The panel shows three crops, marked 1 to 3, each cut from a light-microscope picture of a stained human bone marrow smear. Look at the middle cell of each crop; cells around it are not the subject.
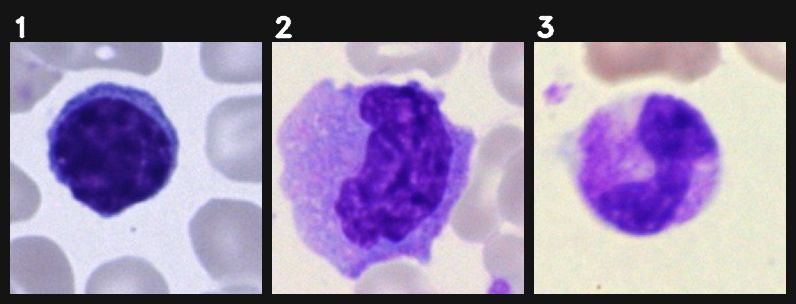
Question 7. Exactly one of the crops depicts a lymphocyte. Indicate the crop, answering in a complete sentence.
On review of the set, crop 1 is the one showing a lymphocyte.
